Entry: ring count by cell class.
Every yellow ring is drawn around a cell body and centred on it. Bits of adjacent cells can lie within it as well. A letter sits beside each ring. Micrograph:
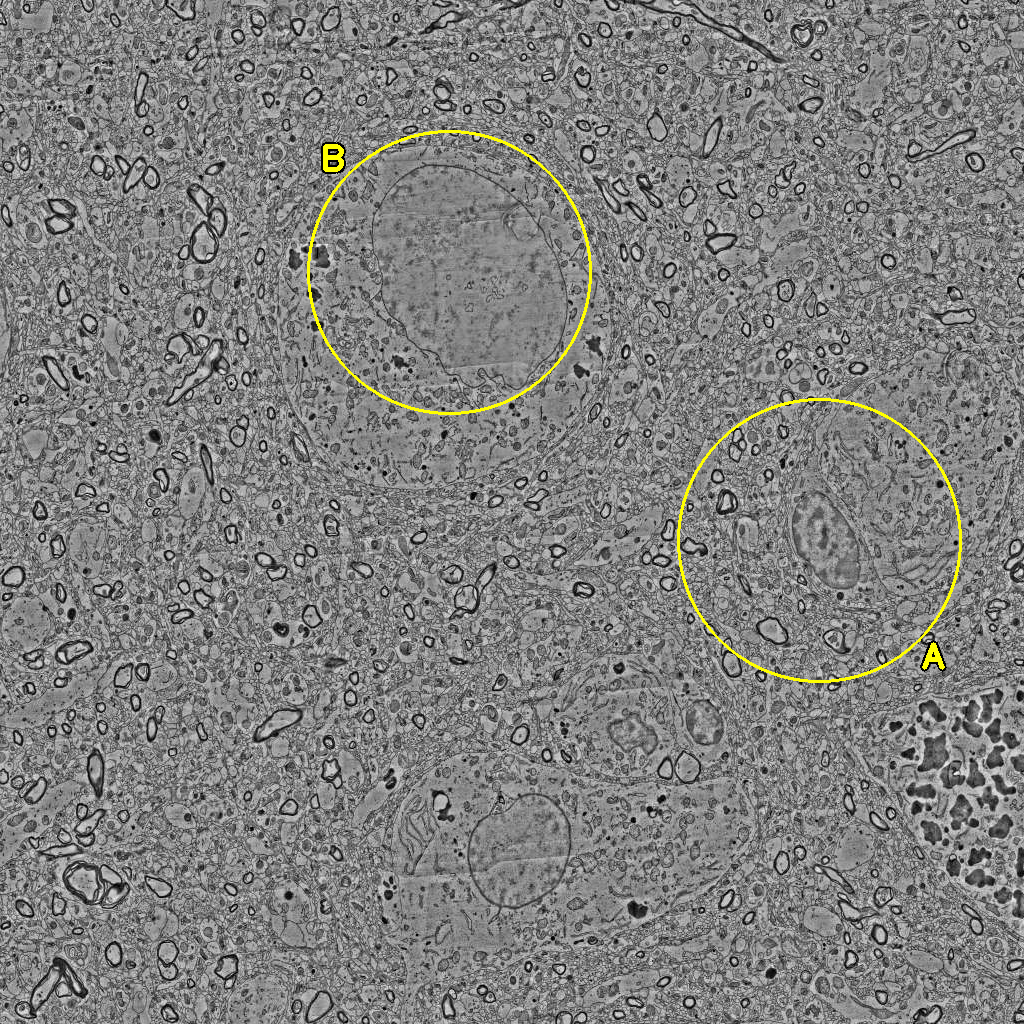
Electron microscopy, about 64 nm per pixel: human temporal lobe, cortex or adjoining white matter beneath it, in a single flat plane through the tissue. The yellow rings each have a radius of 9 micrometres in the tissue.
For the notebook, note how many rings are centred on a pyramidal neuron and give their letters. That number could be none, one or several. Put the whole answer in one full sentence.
Of all the rings, only one has a pyramidal neuron at its centre, and it bears the letter B.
